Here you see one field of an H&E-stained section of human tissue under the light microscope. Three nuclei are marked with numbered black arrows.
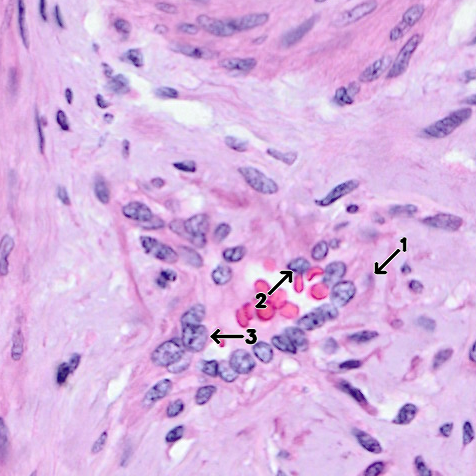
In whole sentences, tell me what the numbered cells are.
Cell 1 is a smooth muscle cell, cell 2 is an endothelial cell and cell 3 is an endothelial cell.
